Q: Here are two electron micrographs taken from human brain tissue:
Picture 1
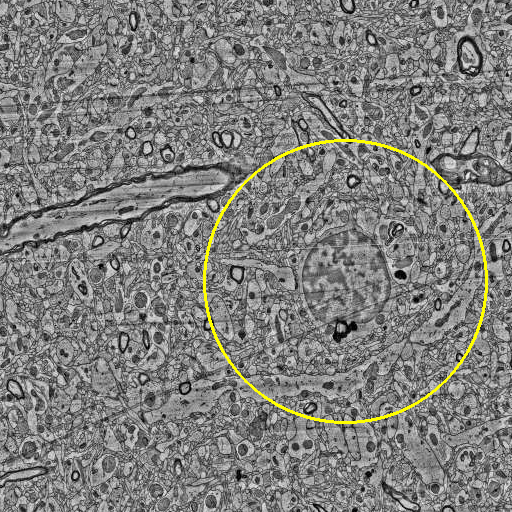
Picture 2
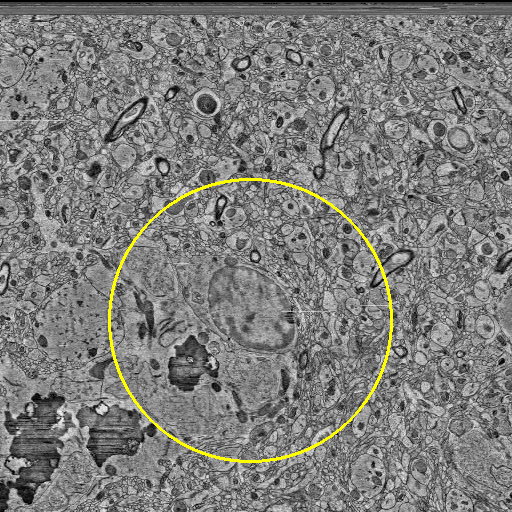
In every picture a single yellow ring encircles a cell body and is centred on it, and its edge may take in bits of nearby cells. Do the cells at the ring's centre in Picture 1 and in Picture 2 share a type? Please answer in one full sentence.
Yes, the cells at the ring's centre in Picture 1 and Picture 2 share a type.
